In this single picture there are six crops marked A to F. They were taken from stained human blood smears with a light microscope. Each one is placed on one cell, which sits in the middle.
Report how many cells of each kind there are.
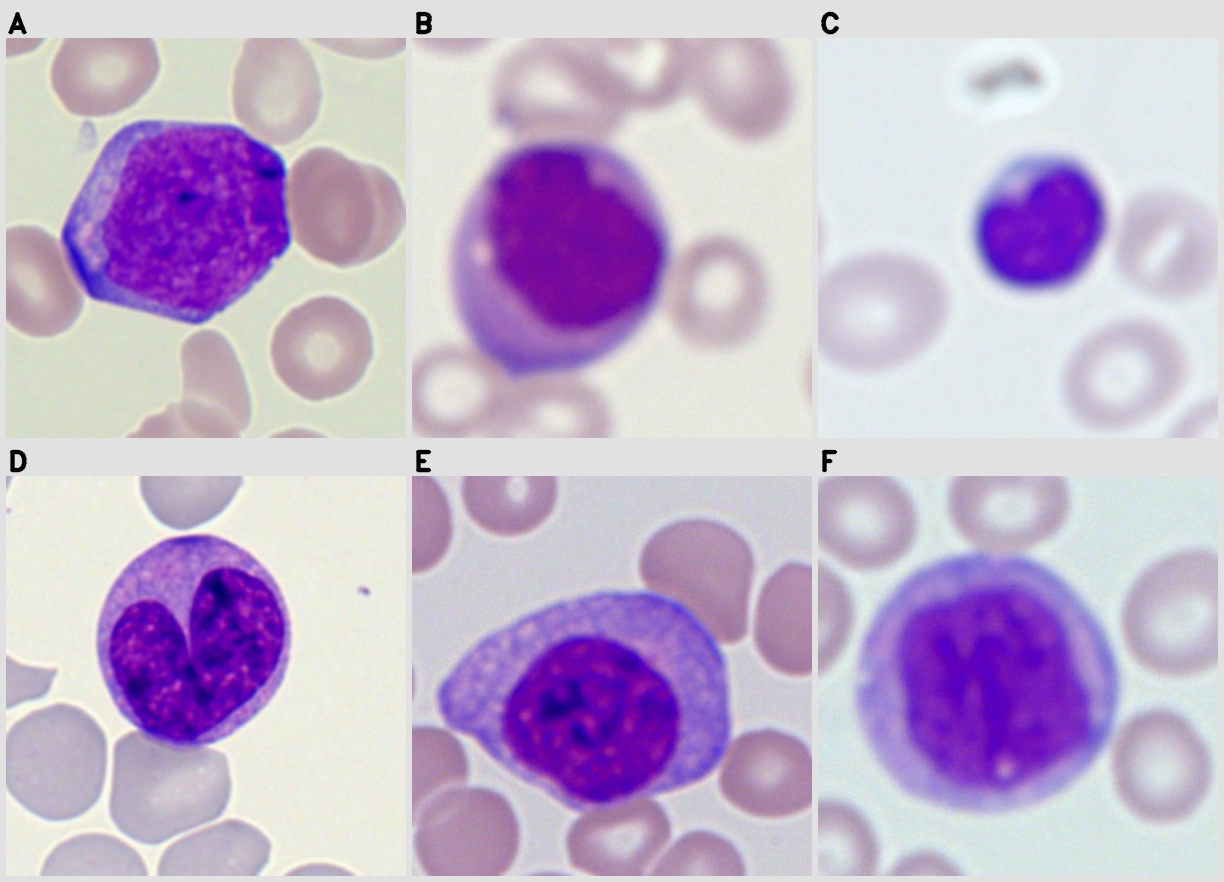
monocyte: 3
myeloblast: 2
lymphocyte: 1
